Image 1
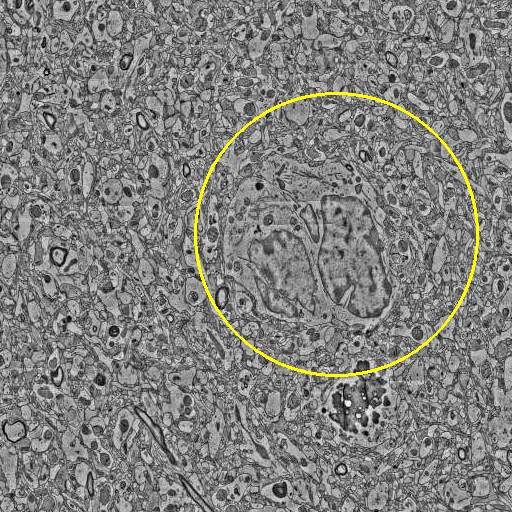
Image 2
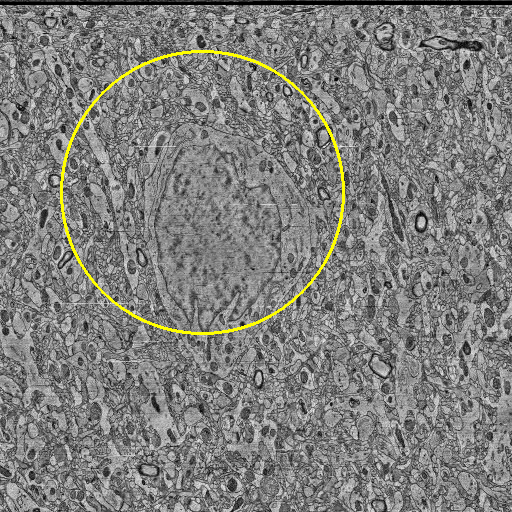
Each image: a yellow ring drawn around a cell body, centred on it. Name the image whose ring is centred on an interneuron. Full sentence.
That is Image 2.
